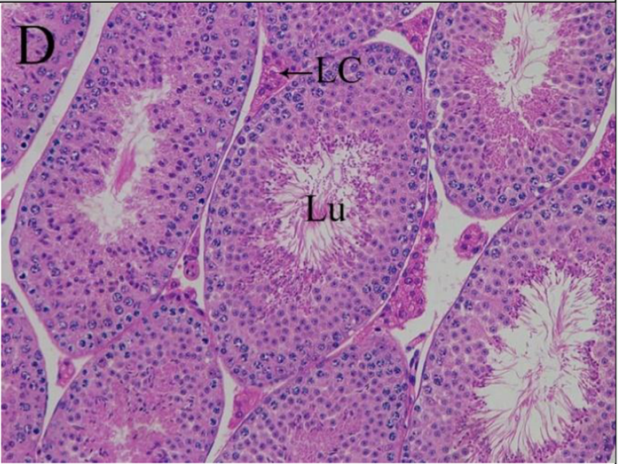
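This is a section of testis with seminiferous tubules lined by many layers of spermatogenic cells, and Leydig cells in the interstitium between them. Each oval tubule has a thin boundary wall. Smaller cells lie toward the lumen, which holds pale pink threads radiating from the centre. The narrow spaces where tubules meet contain small groups of cells with pink cytoplasm and round nuclei. The tubules are arranged side by side with only thin clear clefts separating most of them.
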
